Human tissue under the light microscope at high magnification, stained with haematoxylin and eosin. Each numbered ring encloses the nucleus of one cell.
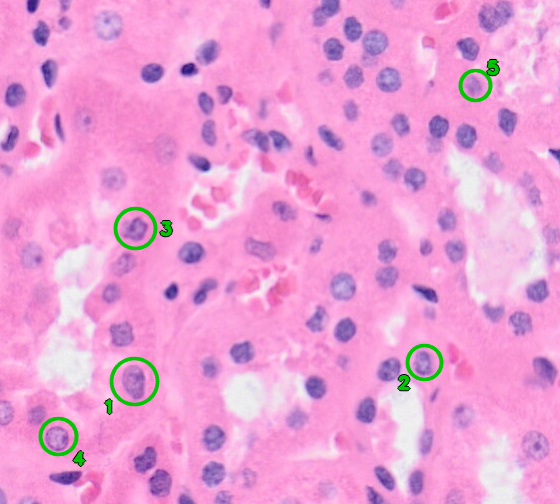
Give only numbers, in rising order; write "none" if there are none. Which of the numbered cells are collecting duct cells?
2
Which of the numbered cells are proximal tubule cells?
1, 3, 4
